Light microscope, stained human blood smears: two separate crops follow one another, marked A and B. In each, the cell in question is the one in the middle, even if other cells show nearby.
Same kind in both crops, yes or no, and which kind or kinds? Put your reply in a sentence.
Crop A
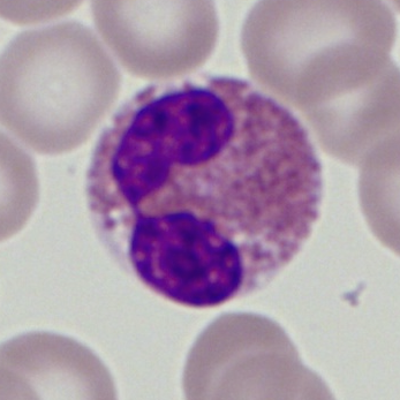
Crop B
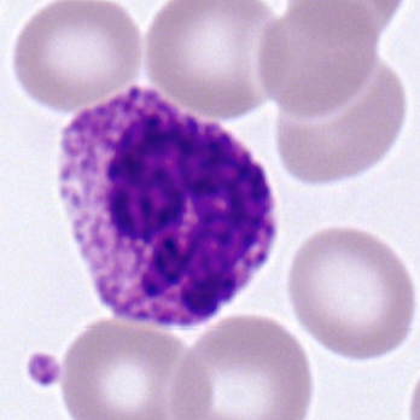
No, crop A and crop B contain, respectively, an eosinophil and a basophil.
